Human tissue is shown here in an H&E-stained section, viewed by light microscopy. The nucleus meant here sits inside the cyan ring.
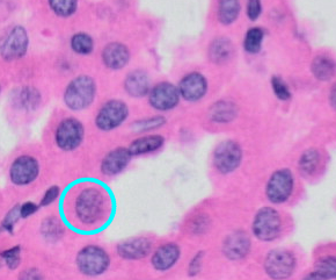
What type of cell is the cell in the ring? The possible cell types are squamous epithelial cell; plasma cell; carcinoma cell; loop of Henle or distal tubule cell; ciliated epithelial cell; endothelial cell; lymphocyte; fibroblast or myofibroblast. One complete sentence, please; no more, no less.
With respect to cell type, the cell in the ring is a loop of Henle or distal tubule cell.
